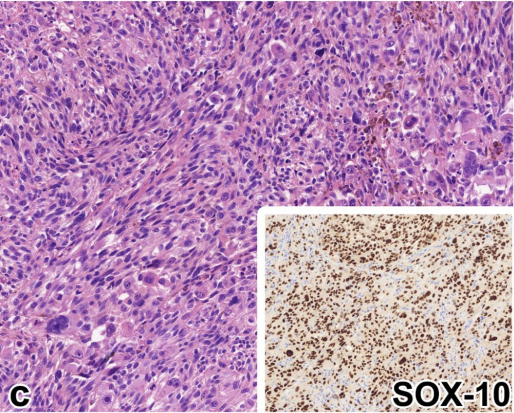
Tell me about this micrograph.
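A densely cellular tumor fills the field, made of plump polygonal cells mingled with elongated spindle cells arranged in loose, sweeping fascicles. The nuclei are large, pleomorphic and hyperchromatic, and scattered cells are strikingly enlarged and bizarre, some multinucleated. Fine brown pigment granules sit within the cytoplasm of some cells toward the upper right. The inset shows brown nuclear staining in nearly all tumor cells across the field.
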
